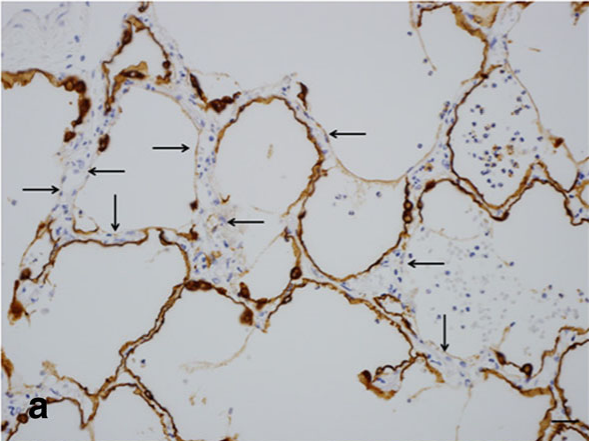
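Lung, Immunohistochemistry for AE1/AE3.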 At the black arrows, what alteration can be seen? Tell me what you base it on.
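The arrows point to stretches of alveolar wall with no brown-stained lining. Elsewhere the alveolar walls are lined by a continuous brown-stained layer. That points to this answer: Alveolar epithelial cells absent from alveoli.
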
